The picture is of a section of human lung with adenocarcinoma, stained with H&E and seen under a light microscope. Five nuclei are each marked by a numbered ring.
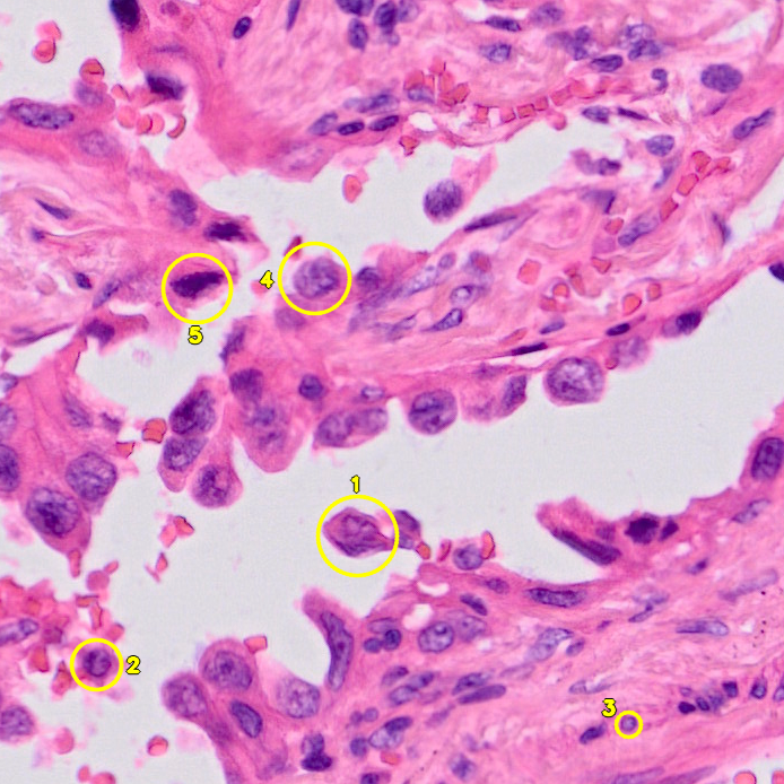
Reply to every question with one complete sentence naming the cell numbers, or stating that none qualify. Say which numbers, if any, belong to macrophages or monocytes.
Being a macrophage or monocyte is true of cell 2 and of no other numbered cell.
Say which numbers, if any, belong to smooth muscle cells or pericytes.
Only the cell numbered 3 qualifies as a smooth muscle cell or pericyte among the marked cells.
